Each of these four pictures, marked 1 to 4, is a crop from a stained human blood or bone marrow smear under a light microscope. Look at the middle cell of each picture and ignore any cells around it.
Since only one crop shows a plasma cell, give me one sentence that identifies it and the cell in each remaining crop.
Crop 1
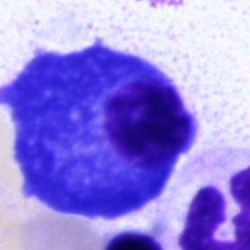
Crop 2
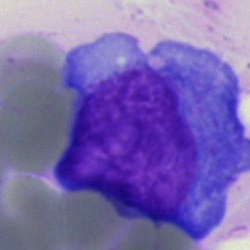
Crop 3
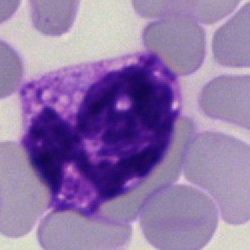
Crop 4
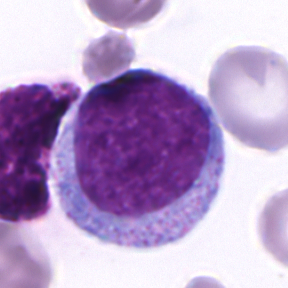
In crop 1 the cell shown is a plasma cell, and crop 2 is a blast, crop 3 is a basophil and crop 4 is a promyelocyte.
